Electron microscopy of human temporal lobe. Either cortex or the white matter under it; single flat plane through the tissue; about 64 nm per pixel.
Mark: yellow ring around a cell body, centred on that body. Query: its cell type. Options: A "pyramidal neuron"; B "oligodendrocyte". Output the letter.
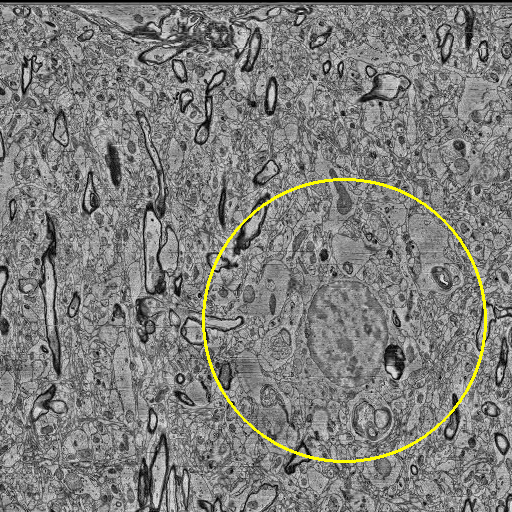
B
